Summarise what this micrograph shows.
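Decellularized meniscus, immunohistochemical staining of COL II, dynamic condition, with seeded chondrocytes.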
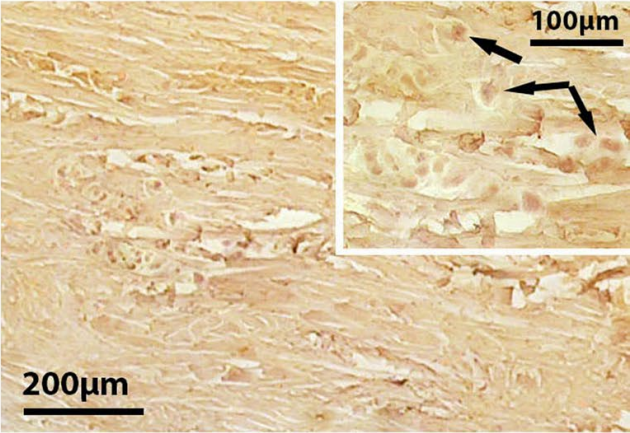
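The matrix is made of pale tan, roughly parallel, elongated fibre bundles running across the field, separated by narrow clefts. In the enlarged inset, rounded cells with round, pinkish-brown nuclei lie singly or in small clusters within spaces among the fibres, some surrounded by a clear halo like a lacuna. The cells are scattered unevenly, with more of them in some bands of the matrix than in others. Staining is a light brown throughout the matrix, slightly deeper in places around the cells.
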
